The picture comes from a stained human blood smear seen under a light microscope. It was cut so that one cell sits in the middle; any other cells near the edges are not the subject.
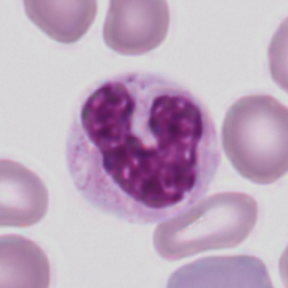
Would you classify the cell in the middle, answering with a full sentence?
The middle cell in this particular crop is a band neutrophil.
